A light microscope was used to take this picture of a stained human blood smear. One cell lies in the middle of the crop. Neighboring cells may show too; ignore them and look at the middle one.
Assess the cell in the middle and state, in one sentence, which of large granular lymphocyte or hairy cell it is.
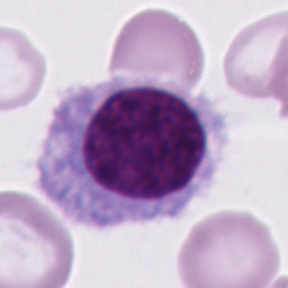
The cell occupying the middle of the crop is a hairy cell.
